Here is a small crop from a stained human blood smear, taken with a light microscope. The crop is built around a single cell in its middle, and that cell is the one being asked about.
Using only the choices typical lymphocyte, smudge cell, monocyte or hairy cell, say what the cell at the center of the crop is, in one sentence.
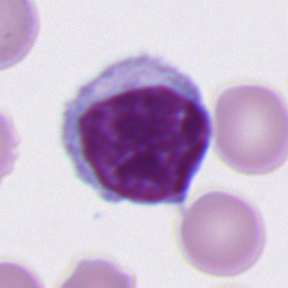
The cell in the exact centre of the crop is a typical lymphocyte.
